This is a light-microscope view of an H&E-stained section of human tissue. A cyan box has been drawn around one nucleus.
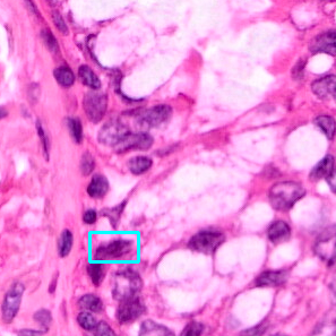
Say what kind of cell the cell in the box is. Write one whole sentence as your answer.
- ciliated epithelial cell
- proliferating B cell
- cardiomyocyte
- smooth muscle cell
Microscopically, the cell in the box is categorized as a ciliated epithelial cell.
